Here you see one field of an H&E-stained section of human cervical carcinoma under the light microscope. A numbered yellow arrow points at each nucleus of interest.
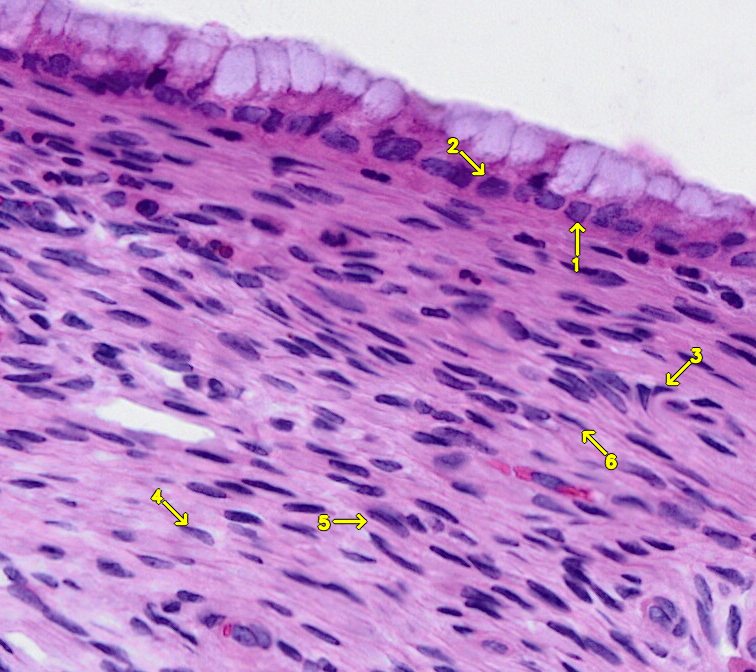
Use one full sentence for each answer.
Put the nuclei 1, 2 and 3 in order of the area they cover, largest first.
Largest first, the order by area is 2, 1, 3.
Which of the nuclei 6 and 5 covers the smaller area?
The smaller nucleus is 6, and 5 covers roughly 2 times its area.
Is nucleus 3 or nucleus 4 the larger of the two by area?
Of the two, number 4 is bigger and takes up about 2.5 times the area of number 3.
